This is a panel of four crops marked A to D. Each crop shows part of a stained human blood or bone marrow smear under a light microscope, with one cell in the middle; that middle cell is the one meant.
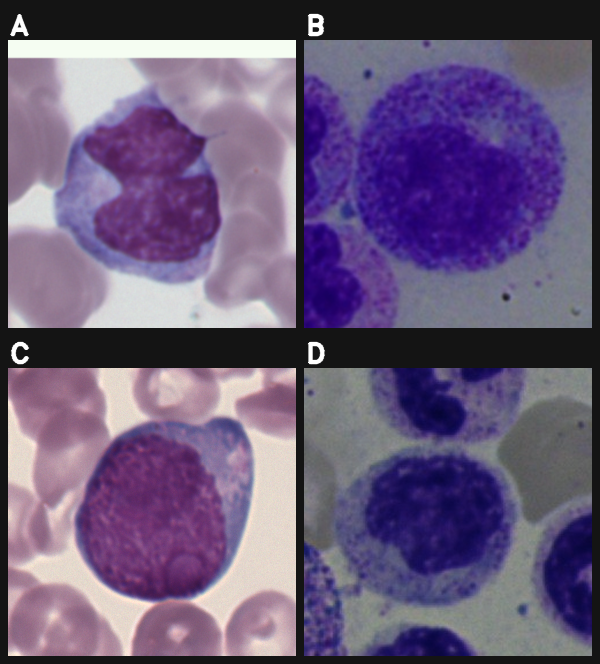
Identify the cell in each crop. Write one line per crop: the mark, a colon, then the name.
A: monocyte
B: myelocyte
C: blast
D: myelocyte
